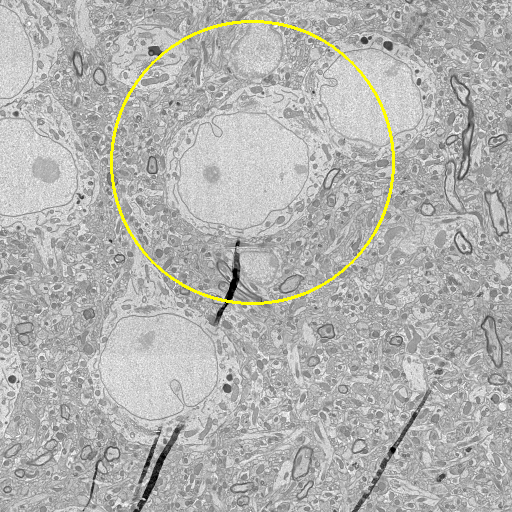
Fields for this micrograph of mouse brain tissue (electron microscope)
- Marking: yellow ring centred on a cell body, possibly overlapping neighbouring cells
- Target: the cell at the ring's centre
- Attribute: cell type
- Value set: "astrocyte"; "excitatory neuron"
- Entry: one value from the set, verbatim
excitatory neuron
